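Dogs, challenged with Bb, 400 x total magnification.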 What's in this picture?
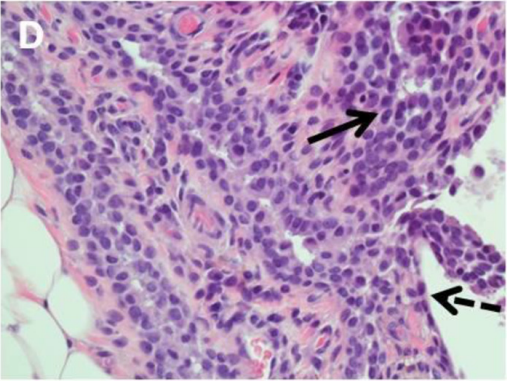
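Joint capsule with mononuclear inflammation and a thickened synovial layer. Tissue is densely cellular, with sheets and streams of cells bearing round to oval, purple nuclei and little cytoplasm. Thin strands of pink collagen and small vessels containing red blood cells run between the cell sheets. The lining at the free surface is formed by several rows of crowded cells. A few clear fat vacuoles lie at the left margin.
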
